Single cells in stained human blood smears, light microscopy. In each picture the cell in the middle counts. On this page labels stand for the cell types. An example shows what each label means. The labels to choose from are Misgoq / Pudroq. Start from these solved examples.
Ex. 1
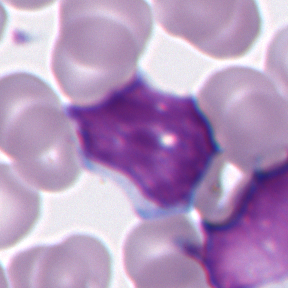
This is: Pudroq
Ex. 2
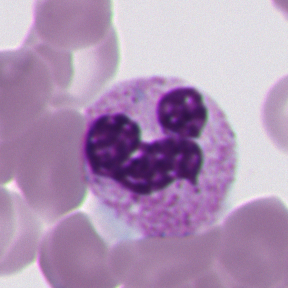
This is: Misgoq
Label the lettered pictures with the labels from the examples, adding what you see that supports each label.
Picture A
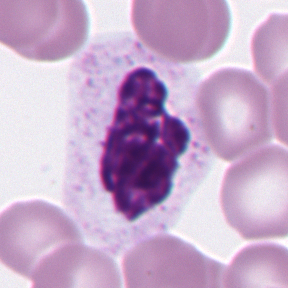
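Misgoq. Reason: A broad rim of very pale, almost colourless cytoplasm surrounds the nucleus.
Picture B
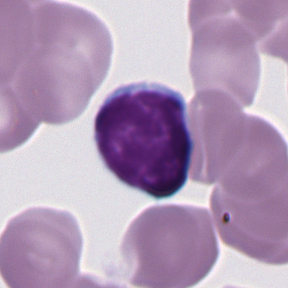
Pudroq. Reason: Only a very thin rim of cytoplasm is visible around the nucleus.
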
